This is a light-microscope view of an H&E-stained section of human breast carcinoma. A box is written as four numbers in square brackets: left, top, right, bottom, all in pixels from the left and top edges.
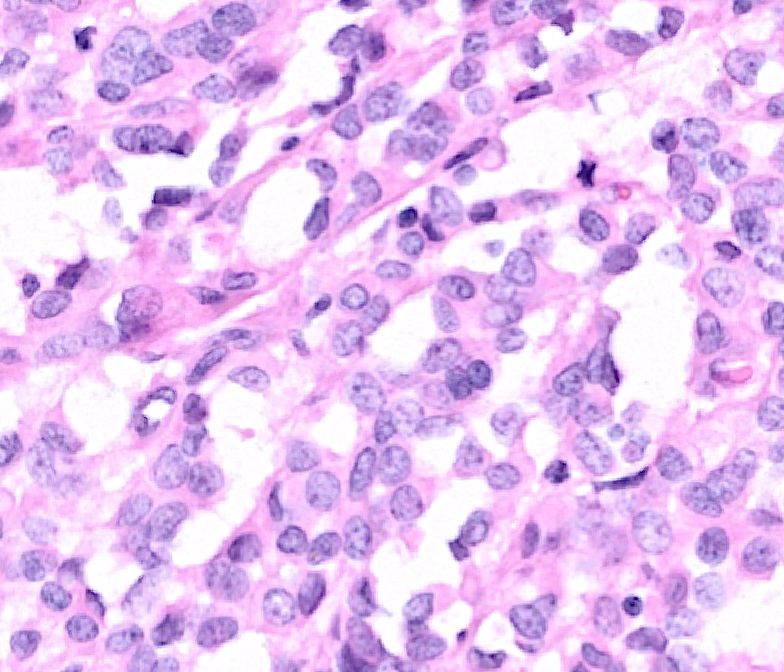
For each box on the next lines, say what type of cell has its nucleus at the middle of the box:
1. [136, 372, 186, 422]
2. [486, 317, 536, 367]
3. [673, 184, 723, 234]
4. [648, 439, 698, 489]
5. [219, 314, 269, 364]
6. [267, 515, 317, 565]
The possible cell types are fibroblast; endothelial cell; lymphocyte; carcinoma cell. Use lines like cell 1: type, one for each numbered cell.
cell 1: endothelial cell
cell 2: carcinoma cell
cell 3: carcinoma cell
cell 4: carcinoma cell
cell 5: endothelial cell
cell 6: carcinoma cell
